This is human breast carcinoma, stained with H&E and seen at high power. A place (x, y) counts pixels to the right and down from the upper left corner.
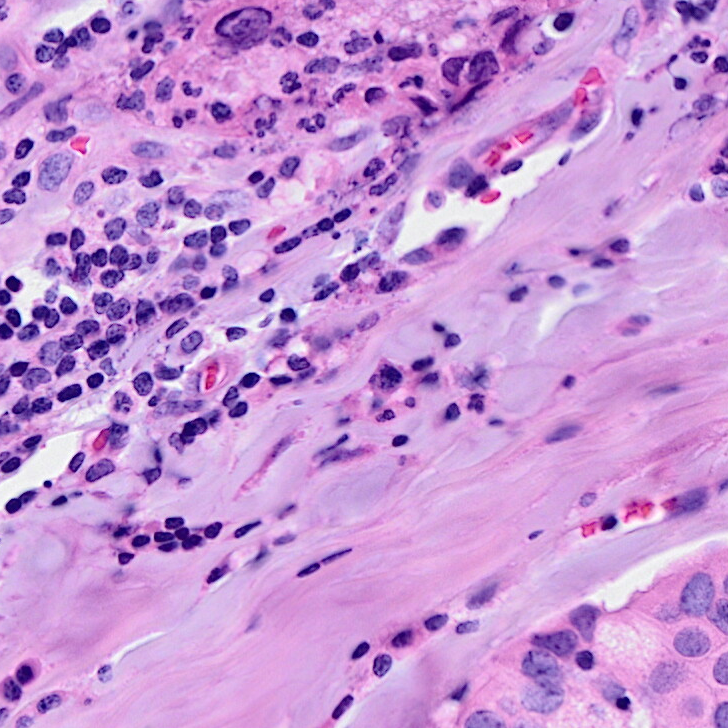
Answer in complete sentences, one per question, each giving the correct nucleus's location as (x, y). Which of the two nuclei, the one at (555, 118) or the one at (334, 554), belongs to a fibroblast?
The correct choice is the nucleus at (334, 554), which belongs to a fibroblast.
